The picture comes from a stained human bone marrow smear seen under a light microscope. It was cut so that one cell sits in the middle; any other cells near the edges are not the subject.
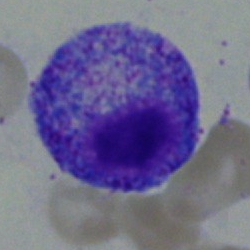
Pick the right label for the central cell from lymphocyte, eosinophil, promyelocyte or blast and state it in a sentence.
The centered cell in this crop is a promyelocyte.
